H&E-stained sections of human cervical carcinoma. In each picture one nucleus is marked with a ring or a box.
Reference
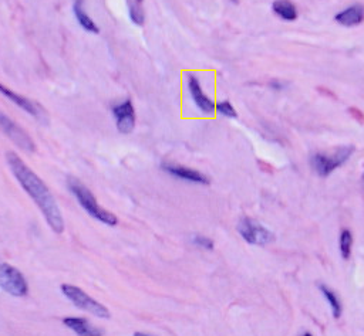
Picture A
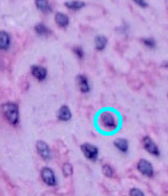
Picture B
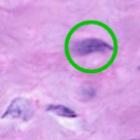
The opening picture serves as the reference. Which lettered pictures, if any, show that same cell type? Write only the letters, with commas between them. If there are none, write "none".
B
